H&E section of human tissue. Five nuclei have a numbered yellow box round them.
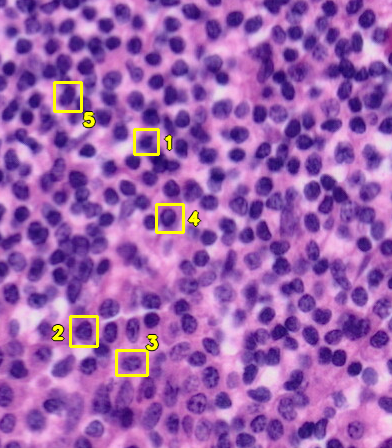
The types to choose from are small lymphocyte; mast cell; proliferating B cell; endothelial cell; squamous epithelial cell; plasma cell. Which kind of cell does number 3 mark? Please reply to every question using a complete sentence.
The label 3 in this section denotes a plasma cell.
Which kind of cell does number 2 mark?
What the number 2 marks in this field is a plasma cell.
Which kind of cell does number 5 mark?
The one numbered 5 among the marked cells is a small lymphocyte.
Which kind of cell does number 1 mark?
Nucleus 1 in this section belongs to a small lymphocyte.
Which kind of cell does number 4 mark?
Here the cell numbered 4 is a plasma cell.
